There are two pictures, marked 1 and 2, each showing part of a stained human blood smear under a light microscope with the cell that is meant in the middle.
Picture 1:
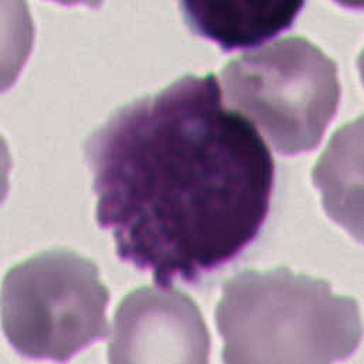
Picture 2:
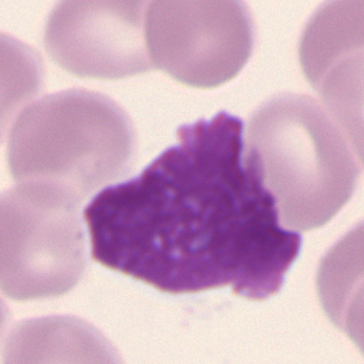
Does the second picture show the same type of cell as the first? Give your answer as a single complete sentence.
Yes, the two pictures both show smudge cells.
